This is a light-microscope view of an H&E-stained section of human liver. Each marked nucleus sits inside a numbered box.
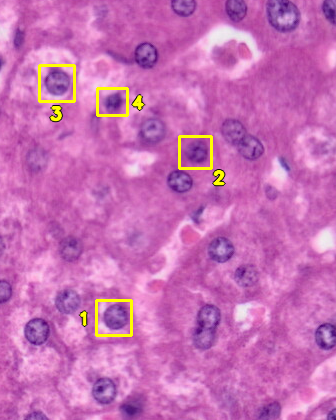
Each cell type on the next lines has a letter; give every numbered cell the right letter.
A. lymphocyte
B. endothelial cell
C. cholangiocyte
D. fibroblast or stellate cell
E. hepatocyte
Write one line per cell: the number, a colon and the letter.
1: E
2: E
3: E
4: D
